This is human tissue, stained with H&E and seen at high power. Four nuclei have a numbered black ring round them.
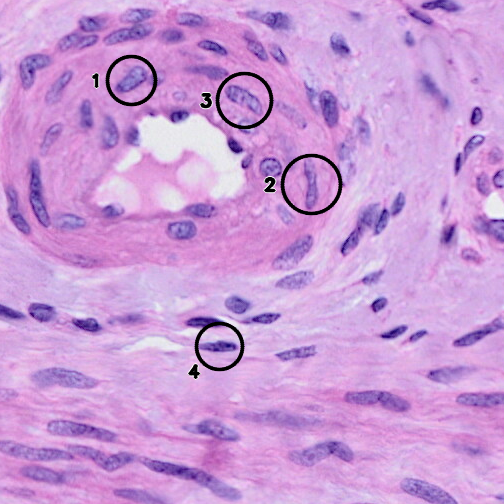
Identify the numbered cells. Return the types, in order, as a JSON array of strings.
["smooth muscle cell", "smooth muscle cell", "smooth muscle cell", "fibroblast"]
